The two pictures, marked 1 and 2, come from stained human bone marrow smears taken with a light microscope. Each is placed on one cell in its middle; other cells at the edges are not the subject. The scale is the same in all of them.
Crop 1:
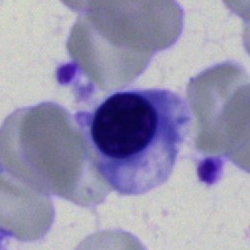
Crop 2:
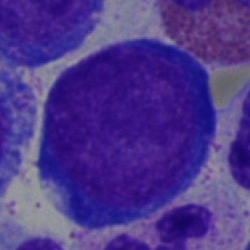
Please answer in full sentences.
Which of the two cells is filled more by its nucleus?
It is the cell in crop 2 that is filled more by its nucleus.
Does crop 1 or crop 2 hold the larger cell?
Crop 2 holds the larger cell; it covers about 3 times the area of the cell in crop 1.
